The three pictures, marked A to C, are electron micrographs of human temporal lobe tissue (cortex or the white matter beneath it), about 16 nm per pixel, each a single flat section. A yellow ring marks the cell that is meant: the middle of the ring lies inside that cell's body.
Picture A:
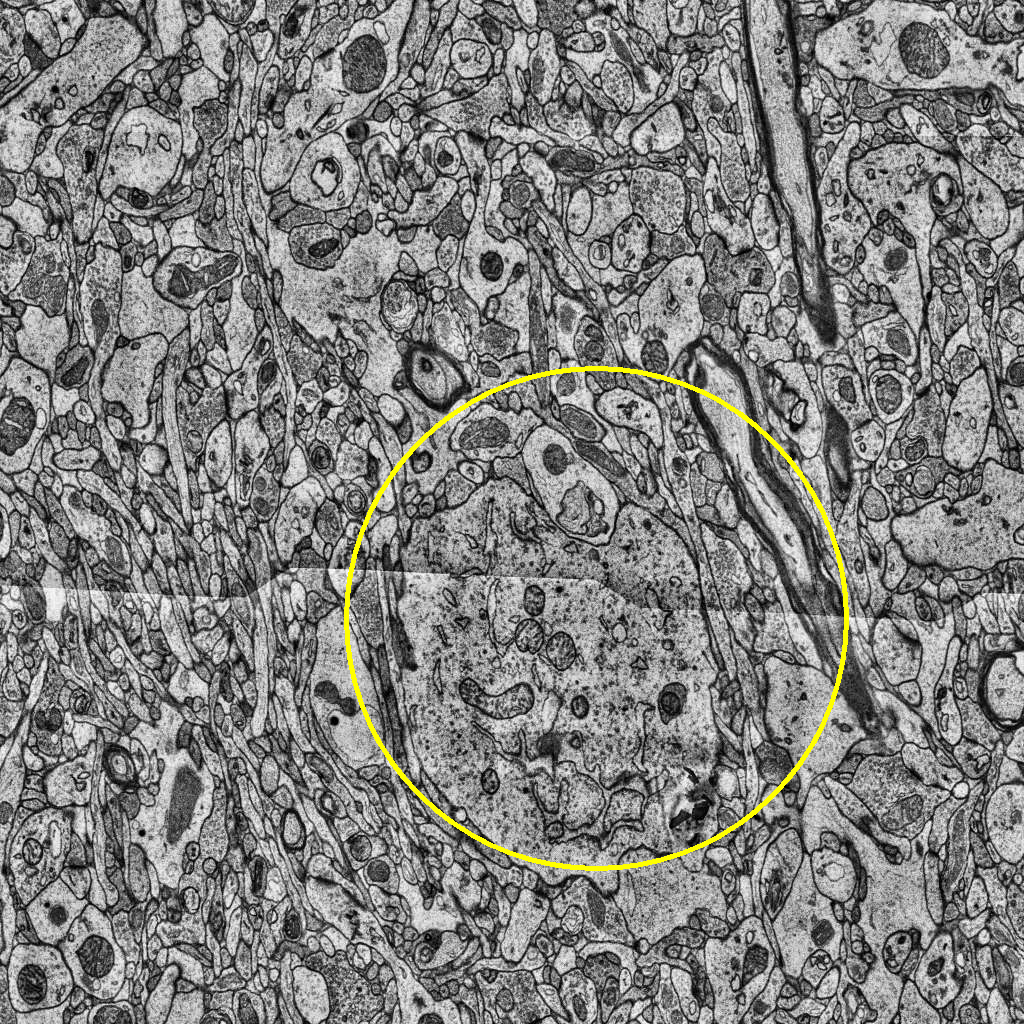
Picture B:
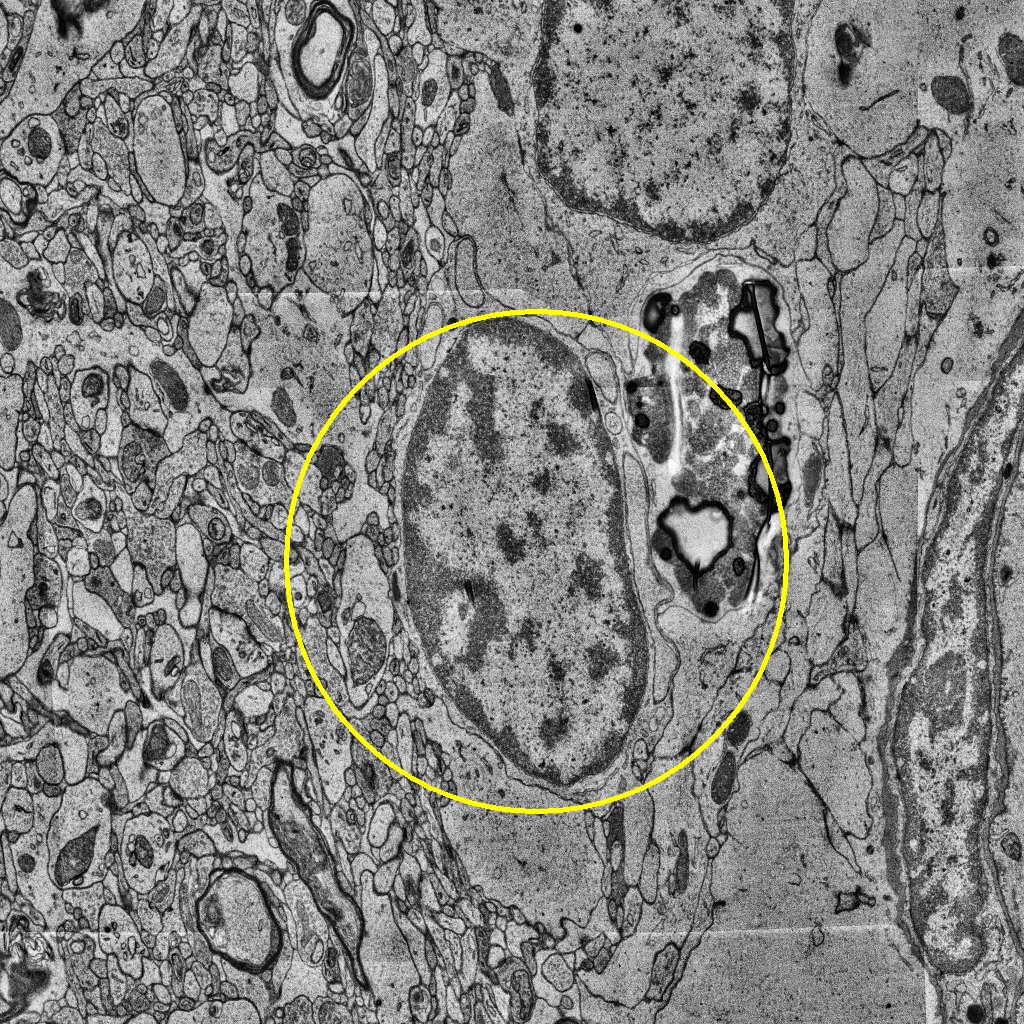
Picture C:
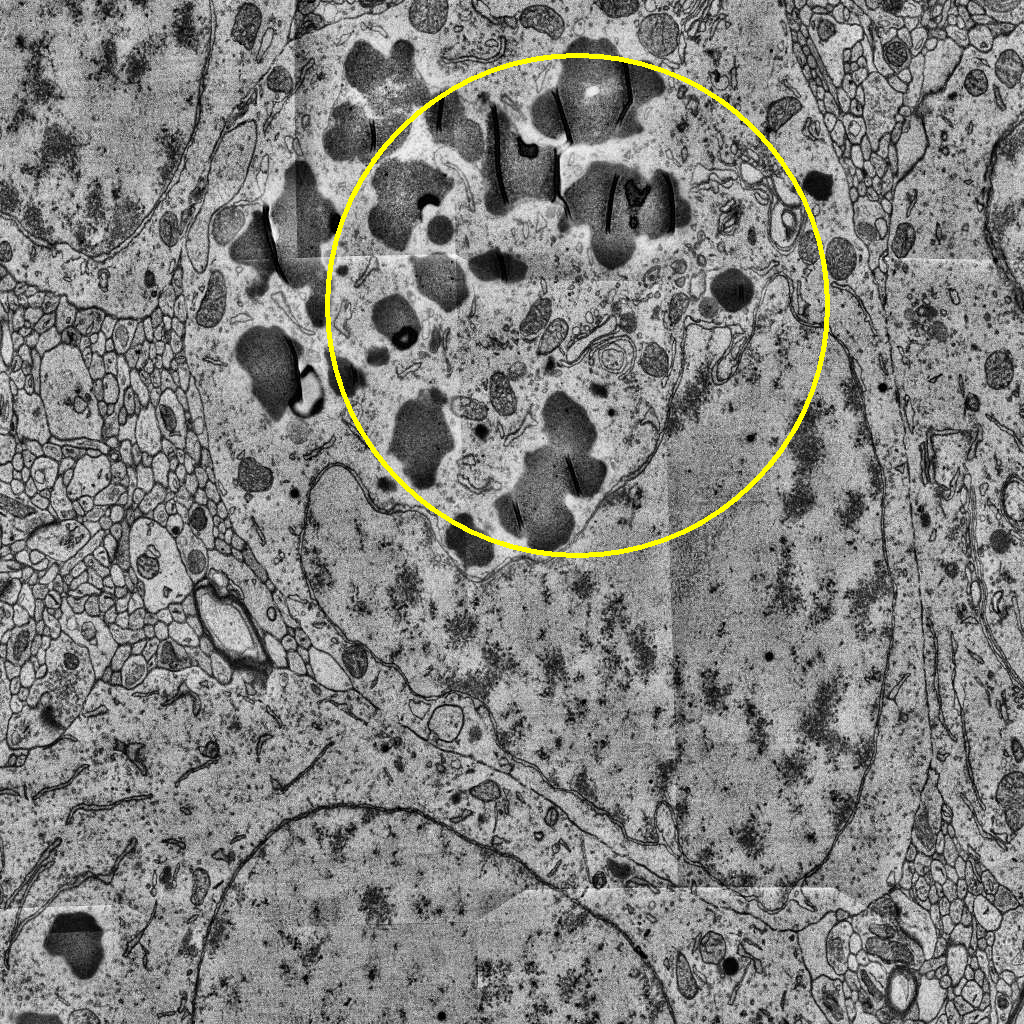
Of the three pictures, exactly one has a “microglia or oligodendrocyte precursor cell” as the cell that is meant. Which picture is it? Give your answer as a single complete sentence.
The “microglia or oligodendrocyte precursor cell” is the one in picture B.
